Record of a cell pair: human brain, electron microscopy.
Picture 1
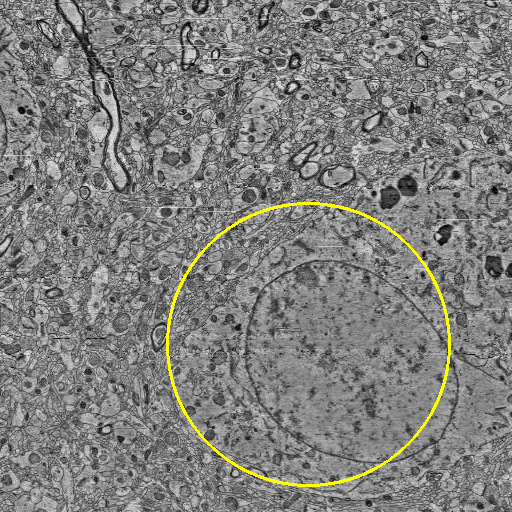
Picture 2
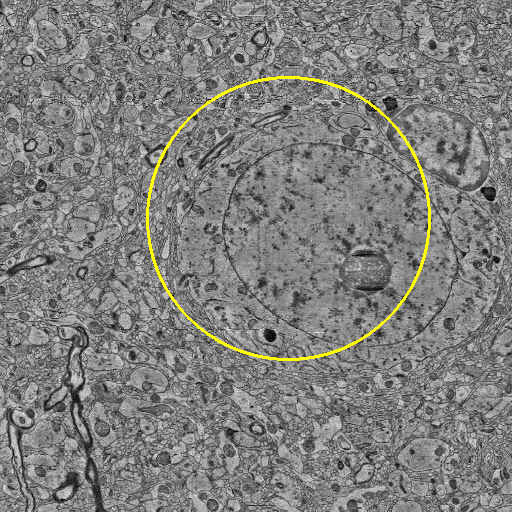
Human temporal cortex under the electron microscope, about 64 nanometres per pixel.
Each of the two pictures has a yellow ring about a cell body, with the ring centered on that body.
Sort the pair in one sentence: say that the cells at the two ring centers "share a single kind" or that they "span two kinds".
The cells centered in the rings of Pictures 1 and 2 share a single kind.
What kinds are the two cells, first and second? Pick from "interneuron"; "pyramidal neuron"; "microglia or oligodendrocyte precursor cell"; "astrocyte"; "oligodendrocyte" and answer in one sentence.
Each of the two pictures has a pyramidal neuron at the ring centre.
